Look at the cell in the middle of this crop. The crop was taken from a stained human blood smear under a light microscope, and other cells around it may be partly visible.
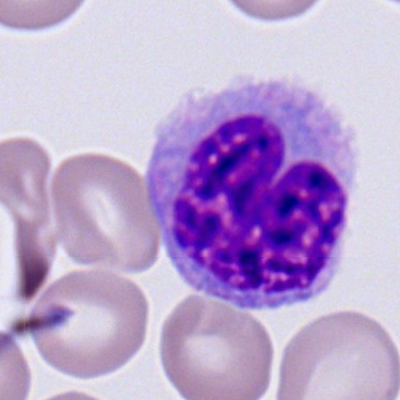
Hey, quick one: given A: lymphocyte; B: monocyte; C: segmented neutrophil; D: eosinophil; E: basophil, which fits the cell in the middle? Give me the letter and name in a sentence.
The right choice is option B: the cell in the middle is a monocyte.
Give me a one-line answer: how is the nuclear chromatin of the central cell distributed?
The nucleus shows chromatin that is coarsely clumped.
